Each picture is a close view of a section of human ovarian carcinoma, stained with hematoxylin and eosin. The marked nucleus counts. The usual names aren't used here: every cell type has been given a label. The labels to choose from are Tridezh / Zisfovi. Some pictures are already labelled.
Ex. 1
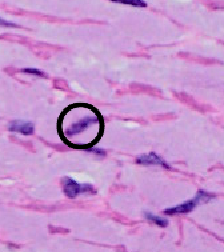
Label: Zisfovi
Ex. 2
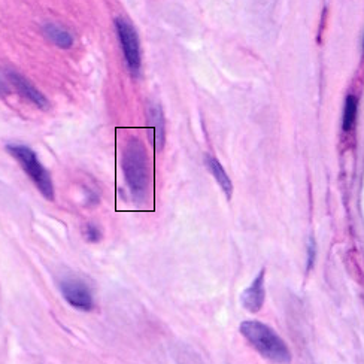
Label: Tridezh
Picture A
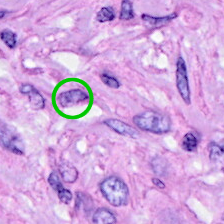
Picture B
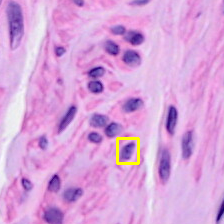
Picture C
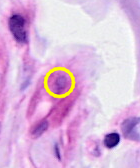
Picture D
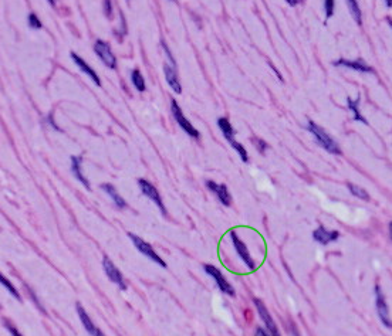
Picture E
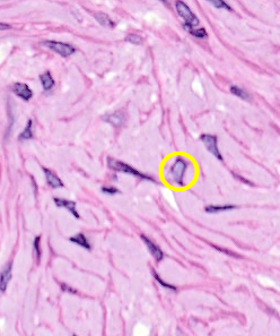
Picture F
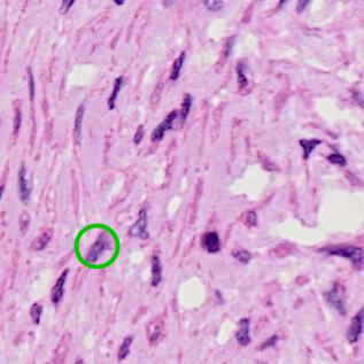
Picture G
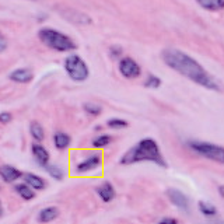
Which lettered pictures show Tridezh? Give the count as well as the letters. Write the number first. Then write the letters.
3: B, C, G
